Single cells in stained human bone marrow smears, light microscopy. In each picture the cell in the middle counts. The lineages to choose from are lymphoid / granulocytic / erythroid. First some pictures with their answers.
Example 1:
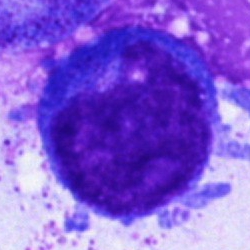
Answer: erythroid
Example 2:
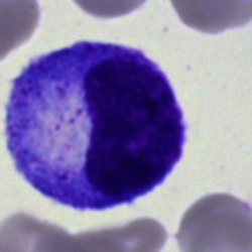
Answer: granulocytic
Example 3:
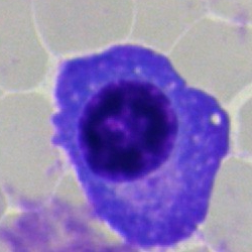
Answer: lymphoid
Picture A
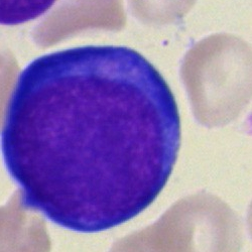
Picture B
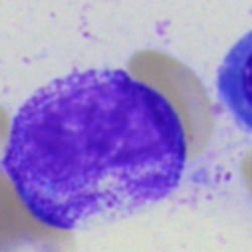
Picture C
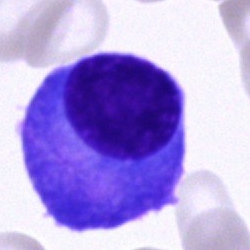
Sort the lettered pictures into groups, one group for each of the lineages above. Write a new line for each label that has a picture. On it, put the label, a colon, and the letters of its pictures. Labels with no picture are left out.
lymphoid: C
granulocytic: B
erythroid: A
